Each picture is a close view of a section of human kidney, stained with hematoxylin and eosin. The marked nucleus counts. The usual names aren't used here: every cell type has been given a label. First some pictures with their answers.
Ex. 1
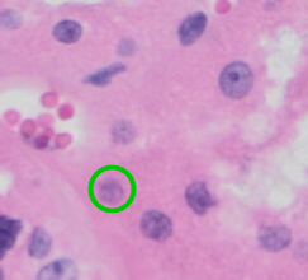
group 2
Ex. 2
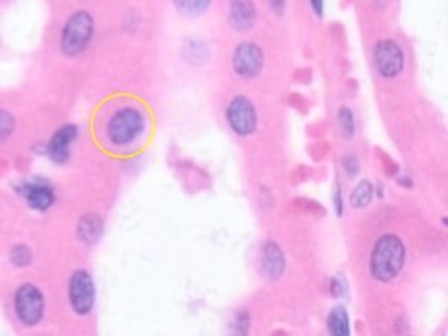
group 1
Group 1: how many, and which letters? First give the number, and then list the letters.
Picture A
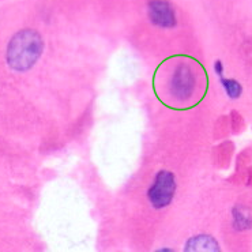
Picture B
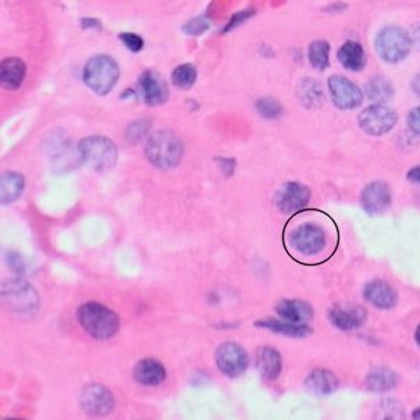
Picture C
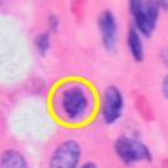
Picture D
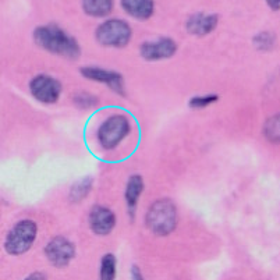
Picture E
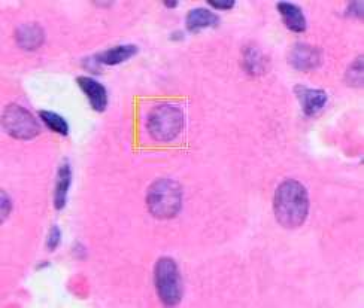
3: B, C, D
